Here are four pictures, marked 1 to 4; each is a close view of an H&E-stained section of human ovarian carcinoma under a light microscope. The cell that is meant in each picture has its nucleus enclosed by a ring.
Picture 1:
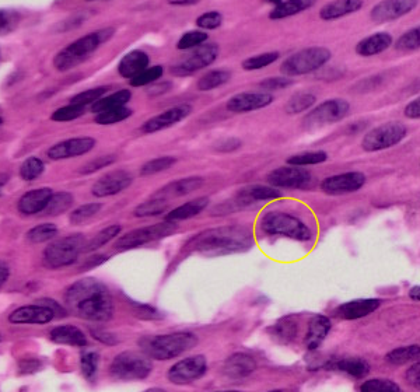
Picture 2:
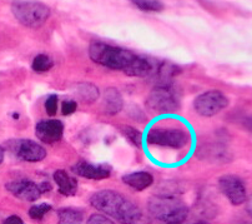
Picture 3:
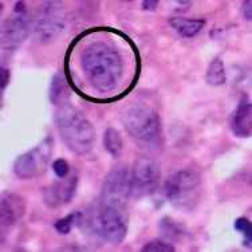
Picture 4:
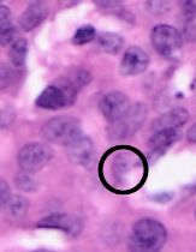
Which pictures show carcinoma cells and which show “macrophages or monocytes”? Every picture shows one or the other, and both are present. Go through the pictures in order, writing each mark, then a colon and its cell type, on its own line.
1: macrophage or monocyte
2: carcinoma cell
3: carcinoma cell
4: carcinoma cell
